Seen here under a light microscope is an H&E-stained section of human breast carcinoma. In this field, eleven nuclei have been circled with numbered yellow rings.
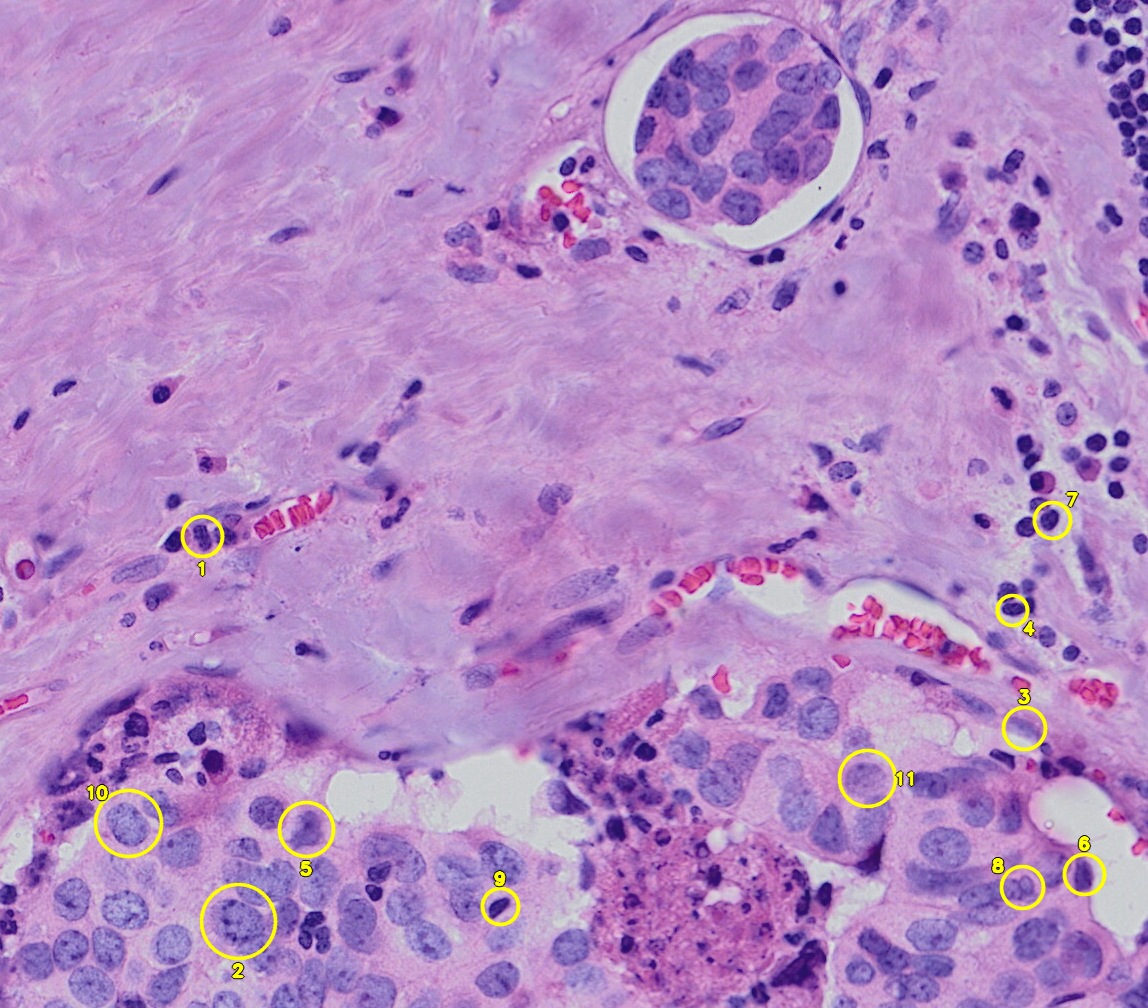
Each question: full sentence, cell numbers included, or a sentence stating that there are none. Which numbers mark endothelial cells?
Cell 3 is an endothelial cell and is the only numbered cell of that kind.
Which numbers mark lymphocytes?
The cells marked by the numbers 1, 4, 7 and 9 are lymphocytes.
